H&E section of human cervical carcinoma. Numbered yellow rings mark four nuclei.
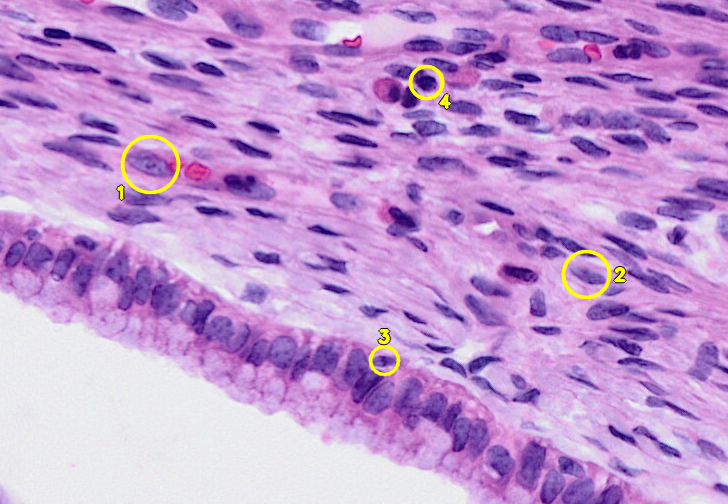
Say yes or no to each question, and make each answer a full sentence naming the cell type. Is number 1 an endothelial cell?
Yes, the number 1 belongs to an endothelial cell.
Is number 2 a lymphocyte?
No, cell 2, which is a fibroblast, is not a lymphocyte.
